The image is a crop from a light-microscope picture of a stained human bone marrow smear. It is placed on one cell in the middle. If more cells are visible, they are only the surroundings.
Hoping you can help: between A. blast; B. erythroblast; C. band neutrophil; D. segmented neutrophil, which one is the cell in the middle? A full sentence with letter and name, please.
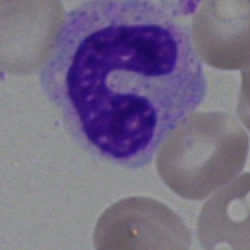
The cell at the heart of the crop is a band neutrophil, so choose option C.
